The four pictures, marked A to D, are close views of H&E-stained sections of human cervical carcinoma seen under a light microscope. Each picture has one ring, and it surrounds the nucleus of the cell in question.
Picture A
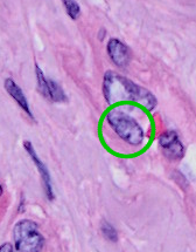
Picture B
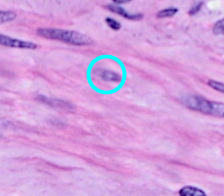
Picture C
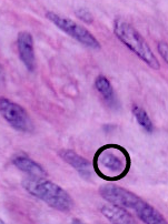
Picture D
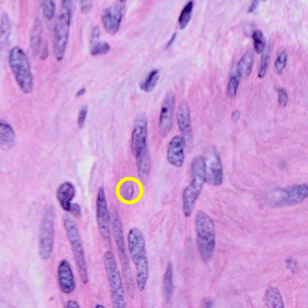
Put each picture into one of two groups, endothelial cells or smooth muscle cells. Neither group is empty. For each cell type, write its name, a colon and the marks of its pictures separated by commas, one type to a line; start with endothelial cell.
endothelial cell: A
smooth muscle cell: B, C, D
